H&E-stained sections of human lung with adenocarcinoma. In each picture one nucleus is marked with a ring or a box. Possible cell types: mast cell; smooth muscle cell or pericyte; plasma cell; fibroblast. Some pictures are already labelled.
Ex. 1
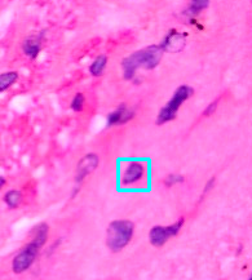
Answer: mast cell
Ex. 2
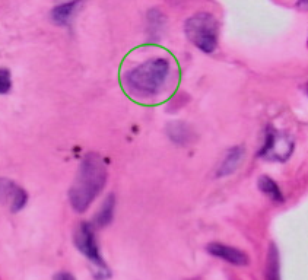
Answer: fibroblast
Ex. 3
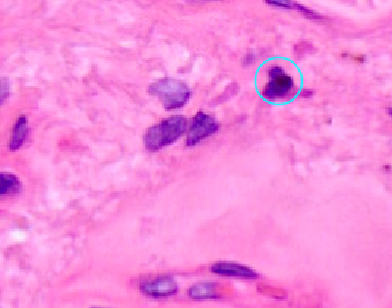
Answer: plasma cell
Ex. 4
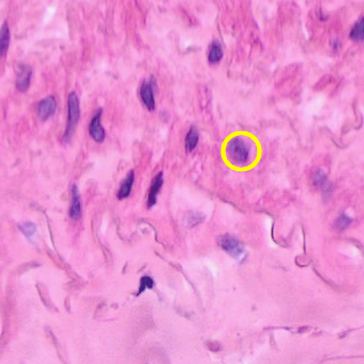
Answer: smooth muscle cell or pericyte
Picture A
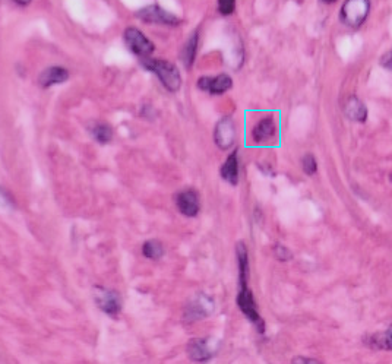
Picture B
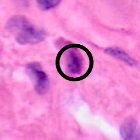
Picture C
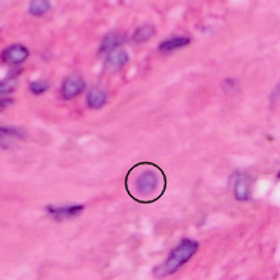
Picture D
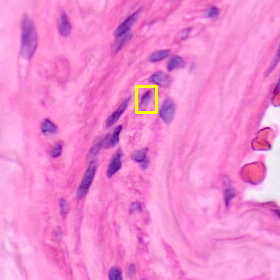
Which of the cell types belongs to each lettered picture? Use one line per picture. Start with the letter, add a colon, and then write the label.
A: mast cell
B: plasma cell
C: mast cell
D: smooth muscle cell or pericyte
